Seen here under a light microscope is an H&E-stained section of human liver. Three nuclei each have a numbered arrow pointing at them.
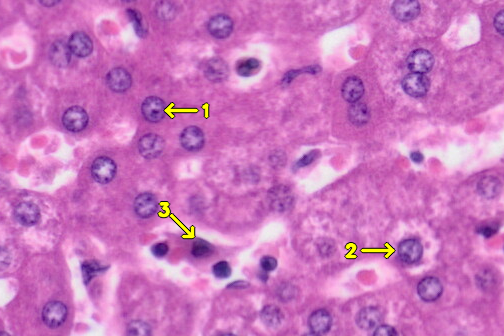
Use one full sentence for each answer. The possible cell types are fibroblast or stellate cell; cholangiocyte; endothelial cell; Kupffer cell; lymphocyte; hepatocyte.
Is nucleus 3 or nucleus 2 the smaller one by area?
The smaller nucleus is 3, and 2 covers roughly 1.5 times its area.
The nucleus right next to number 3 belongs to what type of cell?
Closest to number 3 lies the nucleus of a lymphocyte.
